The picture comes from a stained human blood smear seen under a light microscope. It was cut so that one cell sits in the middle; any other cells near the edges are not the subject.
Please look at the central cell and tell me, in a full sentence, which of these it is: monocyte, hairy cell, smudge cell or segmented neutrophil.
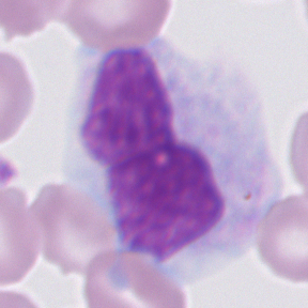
The centrally positioned cell in the crop represents a monocyte.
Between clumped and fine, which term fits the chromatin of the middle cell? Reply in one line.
Check the chromatin: it is fine and not coarsely clumped.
